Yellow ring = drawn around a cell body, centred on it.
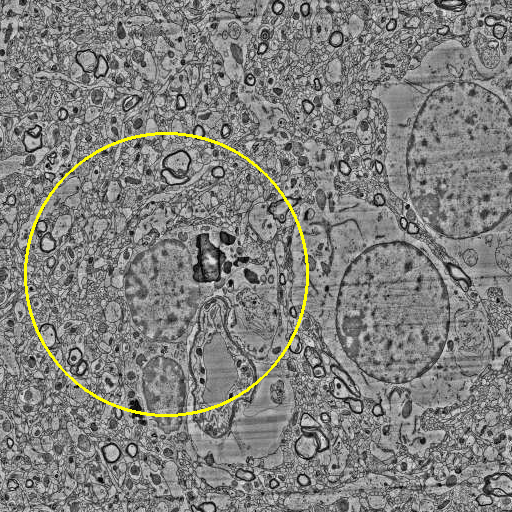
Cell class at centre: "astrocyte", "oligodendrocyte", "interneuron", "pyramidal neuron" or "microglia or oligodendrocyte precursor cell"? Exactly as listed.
oligodendrocyte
